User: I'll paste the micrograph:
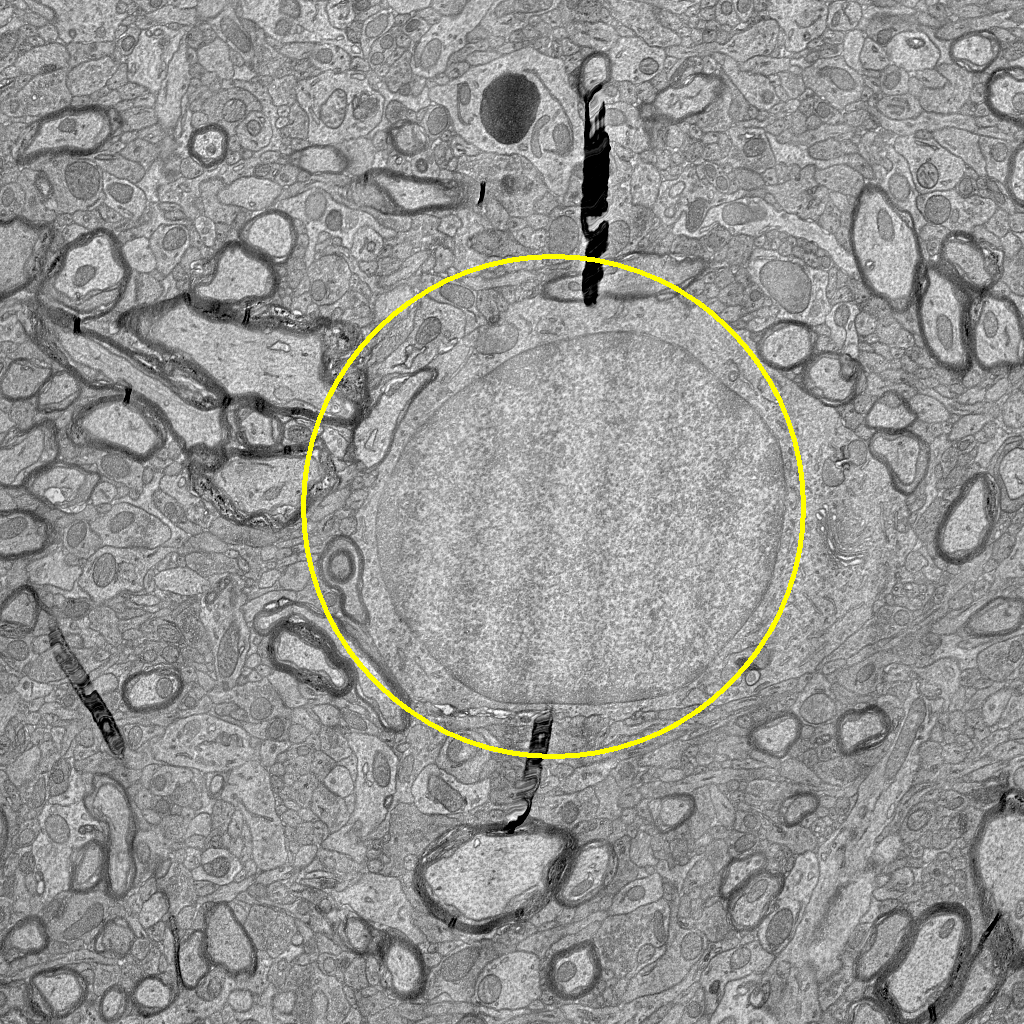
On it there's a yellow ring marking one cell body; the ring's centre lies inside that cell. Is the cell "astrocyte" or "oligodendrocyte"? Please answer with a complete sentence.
The cell at the centre of the yellow ring is an oligodendrocyte.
